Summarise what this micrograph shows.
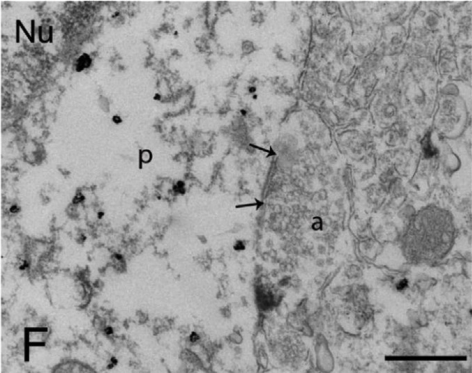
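Electron micrograph of a neuronal cell body whose nucleus lies at the upper left, with pale cytoplasm containing scattered black granules. On the right an axon terminal filled with small vesicles abuts the cell body and forms a short synaptic contact with thin densities of similar thickness on both membranes.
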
